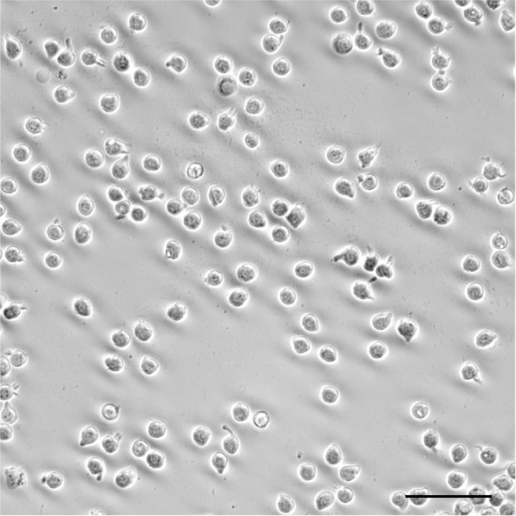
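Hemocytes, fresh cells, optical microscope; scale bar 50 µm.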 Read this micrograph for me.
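Most are round to slightly oval, with a bright halo at their rim and a darker, granular interior. A number of them are not perfectly round but show short pointed or tapering extensions, as if beginning to spread or crawl on the surface. The cells are of fairly similar size, and the background between them is clean, with little debris.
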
